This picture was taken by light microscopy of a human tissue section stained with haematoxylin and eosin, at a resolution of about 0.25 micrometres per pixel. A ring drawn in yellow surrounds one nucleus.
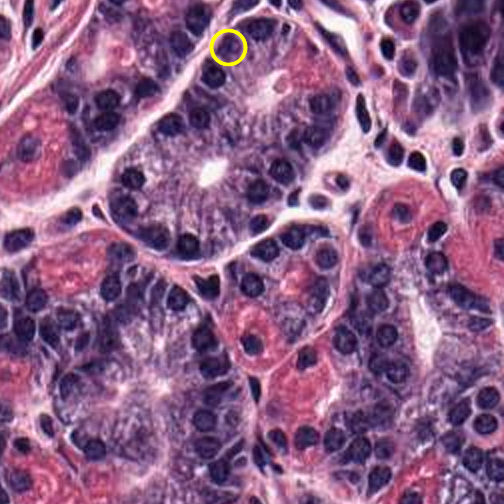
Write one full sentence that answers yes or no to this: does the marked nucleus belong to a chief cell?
Yes, the marked nucleus forms part of a chief cell.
